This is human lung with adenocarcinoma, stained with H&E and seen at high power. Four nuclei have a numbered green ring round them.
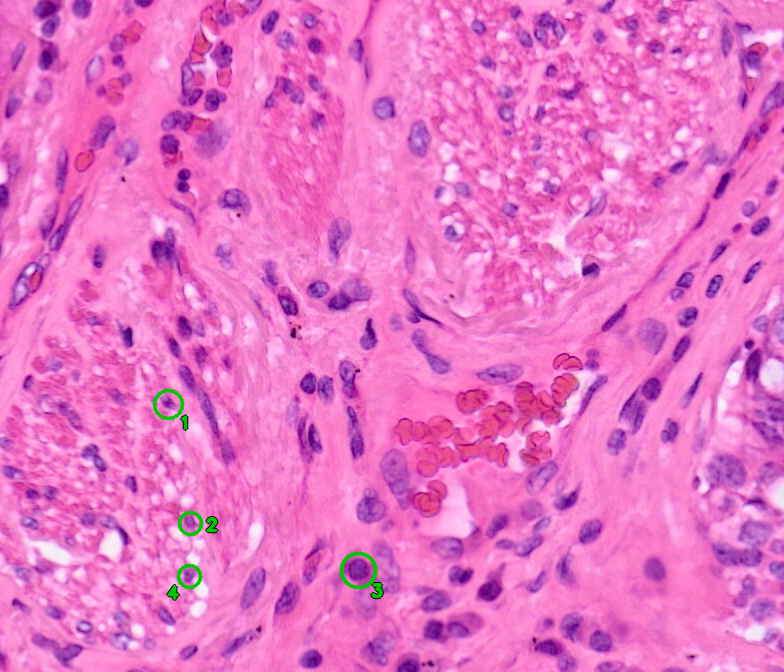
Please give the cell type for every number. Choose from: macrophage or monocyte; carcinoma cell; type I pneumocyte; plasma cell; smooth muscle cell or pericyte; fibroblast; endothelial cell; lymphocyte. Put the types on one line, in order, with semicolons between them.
smooth muscle cell or pericyte; smooth muscle cell or pericyte; plasma cell; smooth muscle cell or pericyte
